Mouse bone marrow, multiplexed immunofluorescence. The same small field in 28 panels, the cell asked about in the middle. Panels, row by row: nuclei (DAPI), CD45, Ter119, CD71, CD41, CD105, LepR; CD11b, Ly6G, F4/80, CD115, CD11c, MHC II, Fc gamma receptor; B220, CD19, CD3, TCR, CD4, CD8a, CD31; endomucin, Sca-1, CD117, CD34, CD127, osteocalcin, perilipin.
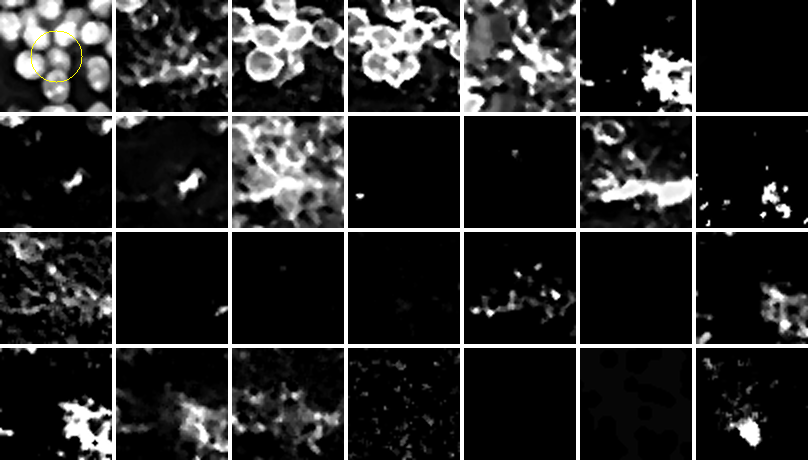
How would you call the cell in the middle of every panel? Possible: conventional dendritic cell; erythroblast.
I would call it an erythroblast.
